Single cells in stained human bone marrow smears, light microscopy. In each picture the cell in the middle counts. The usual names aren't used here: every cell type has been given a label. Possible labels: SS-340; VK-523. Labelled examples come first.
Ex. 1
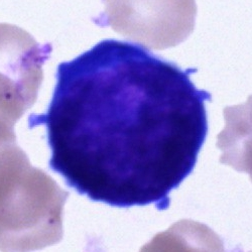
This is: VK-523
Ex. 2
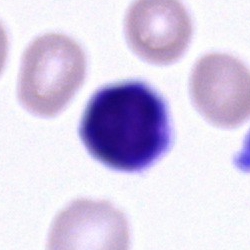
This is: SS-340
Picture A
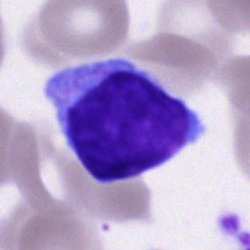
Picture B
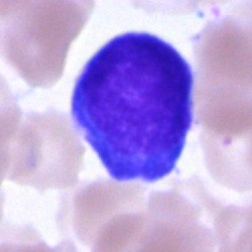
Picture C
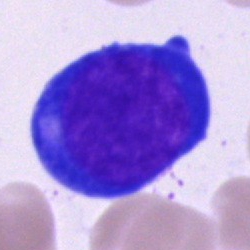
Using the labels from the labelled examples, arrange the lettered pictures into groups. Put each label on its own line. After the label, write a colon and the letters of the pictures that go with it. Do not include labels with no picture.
SS-340: A
VK-523: B, C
